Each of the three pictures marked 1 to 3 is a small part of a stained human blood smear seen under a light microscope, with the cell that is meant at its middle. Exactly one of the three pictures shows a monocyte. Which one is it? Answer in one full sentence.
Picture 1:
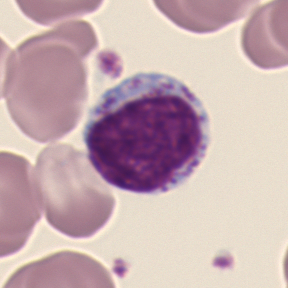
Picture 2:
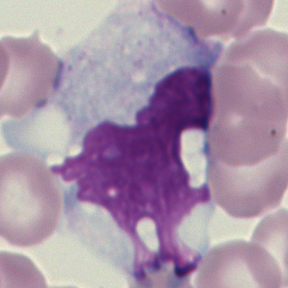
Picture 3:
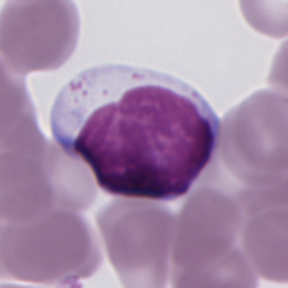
The monocyte is the one in picture 2.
